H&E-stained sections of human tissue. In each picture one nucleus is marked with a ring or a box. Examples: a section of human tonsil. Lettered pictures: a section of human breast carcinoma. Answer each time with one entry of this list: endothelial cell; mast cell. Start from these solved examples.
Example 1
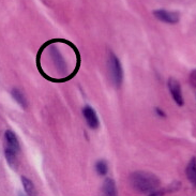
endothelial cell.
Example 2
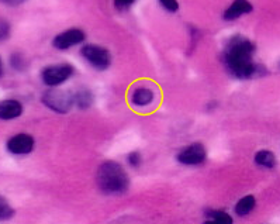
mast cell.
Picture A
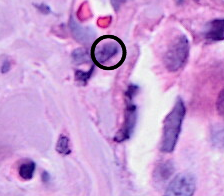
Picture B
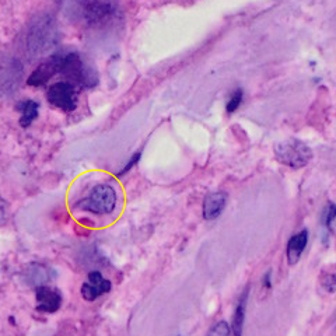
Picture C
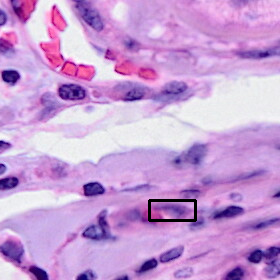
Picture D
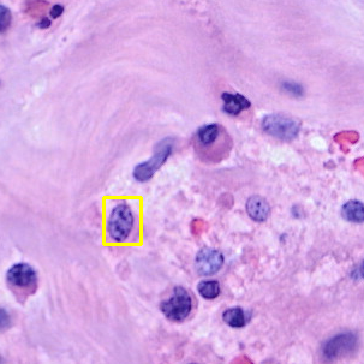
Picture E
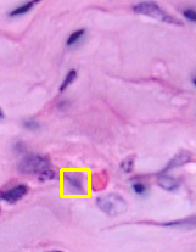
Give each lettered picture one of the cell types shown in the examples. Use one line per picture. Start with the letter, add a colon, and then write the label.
A: endothelial cell.
B: endothelial cell.
C: endothelial cell.
D: mast cell.
E: endothelial cell.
